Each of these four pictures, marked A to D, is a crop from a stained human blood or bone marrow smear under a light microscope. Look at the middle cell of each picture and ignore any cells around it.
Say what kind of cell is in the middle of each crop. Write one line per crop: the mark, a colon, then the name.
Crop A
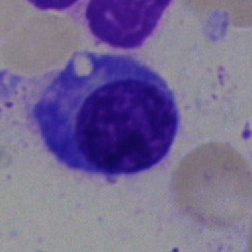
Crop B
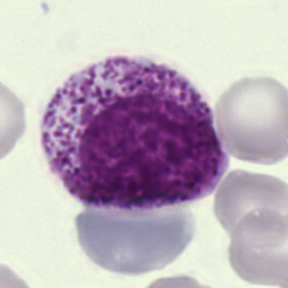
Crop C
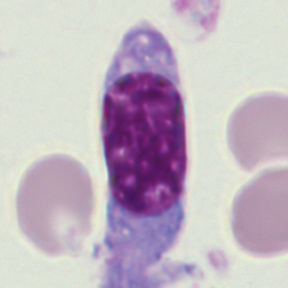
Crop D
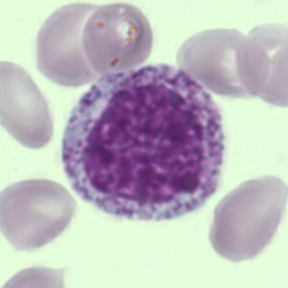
A: plasma cell
B: myelocyte
C: plasma cell
D: myelocyte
